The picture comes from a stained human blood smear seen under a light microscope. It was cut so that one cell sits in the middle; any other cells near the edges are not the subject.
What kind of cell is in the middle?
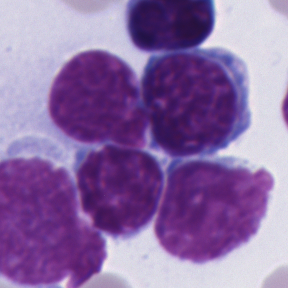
blast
